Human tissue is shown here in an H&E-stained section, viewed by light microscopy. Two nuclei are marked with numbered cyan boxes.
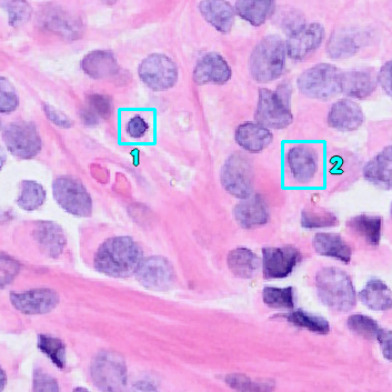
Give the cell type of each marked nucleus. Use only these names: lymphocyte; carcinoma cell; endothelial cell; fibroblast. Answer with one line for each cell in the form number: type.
1: lymphocyte
2: carcinoma cell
